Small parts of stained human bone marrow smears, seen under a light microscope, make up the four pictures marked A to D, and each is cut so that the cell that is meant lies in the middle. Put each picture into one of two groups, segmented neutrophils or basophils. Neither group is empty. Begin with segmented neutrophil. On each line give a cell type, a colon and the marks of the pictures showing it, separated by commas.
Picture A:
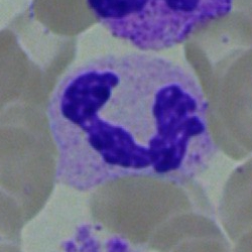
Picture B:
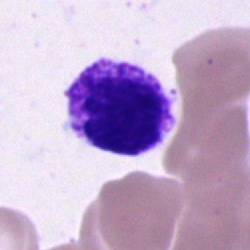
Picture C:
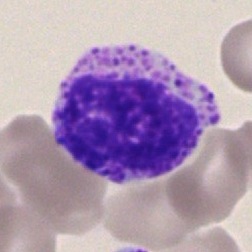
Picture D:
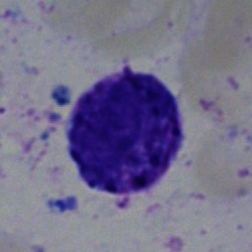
segmented neutrophil: A
basophil: B, C, D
